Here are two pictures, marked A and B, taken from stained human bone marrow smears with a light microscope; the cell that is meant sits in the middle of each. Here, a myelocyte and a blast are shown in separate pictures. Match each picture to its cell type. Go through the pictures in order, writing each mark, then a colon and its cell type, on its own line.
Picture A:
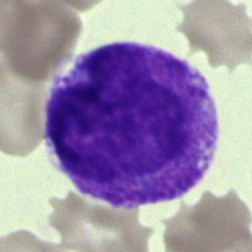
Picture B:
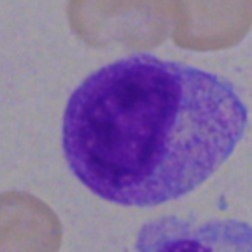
A: blast
B: myelocyte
